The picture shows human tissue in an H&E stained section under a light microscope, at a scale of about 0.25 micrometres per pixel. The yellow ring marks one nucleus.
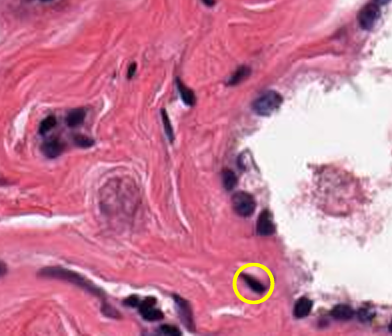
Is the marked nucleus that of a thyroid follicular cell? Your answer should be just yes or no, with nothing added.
no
